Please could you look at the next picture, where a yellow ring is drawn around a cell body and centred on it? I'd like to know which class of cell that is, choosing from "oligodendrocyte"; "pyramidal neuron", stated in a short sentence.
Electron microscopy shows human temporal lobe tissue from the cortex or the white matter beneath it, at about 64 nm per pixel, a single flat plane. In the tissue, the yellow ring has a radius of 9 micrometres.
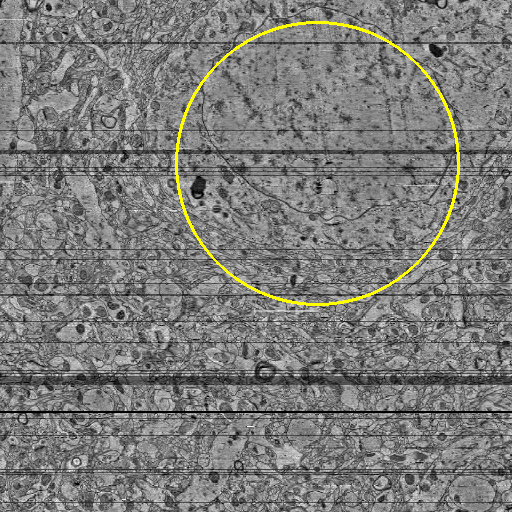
The ring's centre lies on a pyramidal neuron.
